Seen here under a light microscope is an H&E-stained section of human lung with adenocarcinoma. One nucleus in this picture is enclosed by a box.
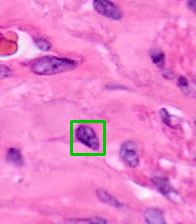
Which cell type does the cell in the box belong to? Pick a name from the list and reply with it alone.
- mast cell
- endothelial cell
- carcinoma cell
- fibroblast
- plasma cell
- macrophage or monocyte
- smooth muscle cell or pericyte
mast cell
